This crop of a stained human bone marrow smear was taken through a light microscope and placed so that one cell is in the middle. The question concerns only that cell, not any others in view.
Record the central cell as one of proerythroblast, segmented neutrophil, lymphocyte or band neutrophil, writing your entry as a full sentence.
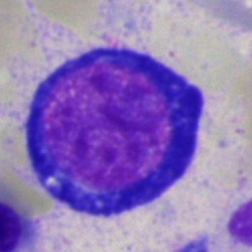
The middle position in this crop is taken by a proerythroblast.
